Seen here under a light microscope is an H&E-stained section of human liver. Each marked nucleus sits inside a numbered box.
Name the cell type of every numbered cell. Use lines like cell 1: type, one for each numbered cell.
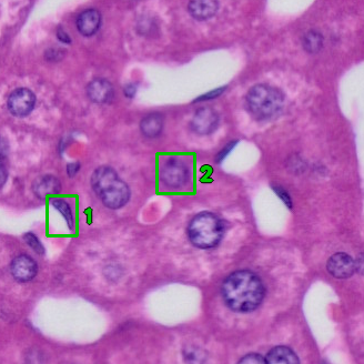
cell 1: endothelial cell
cell 2: hepatocyte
